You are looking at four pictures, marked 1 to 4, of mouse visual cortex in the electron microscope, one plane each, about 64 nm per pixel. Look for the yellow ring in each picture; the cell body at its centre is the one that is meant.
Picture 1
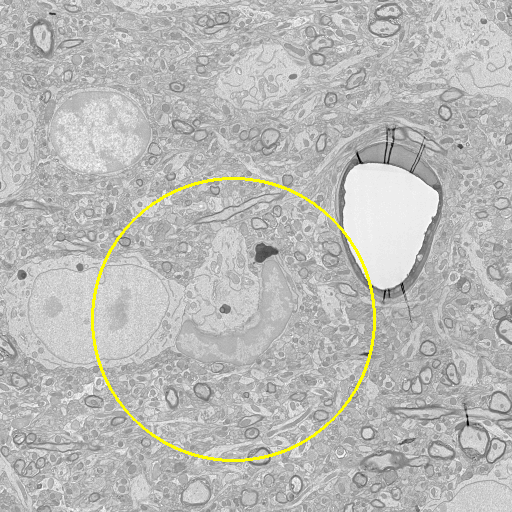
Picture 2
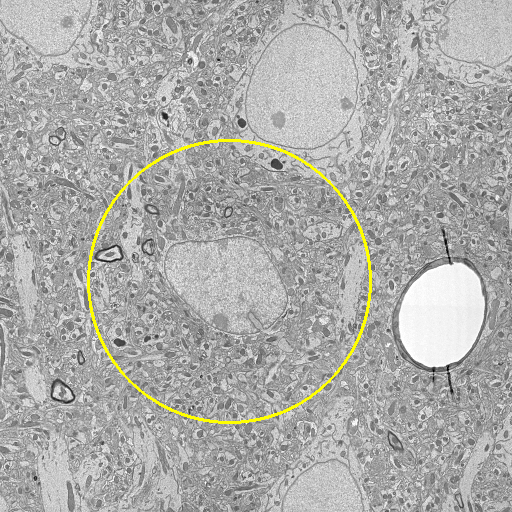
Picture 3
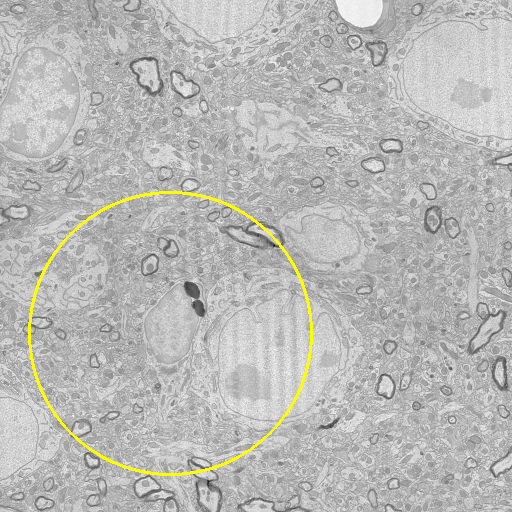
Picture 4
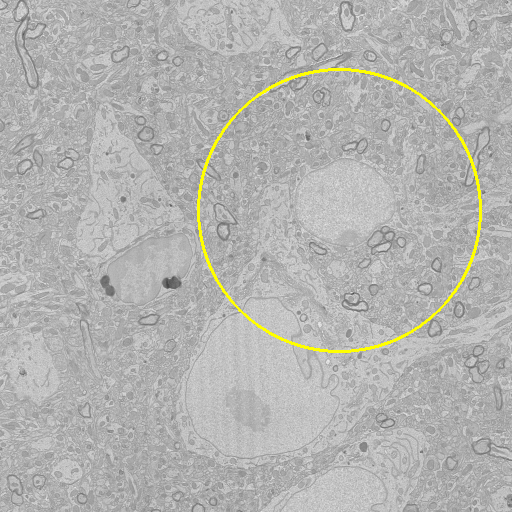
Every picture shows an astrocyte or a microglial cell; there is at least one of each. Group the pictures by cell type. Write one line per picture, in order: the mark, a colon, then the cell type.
1: microglial cell
2: astrocyte
3: microglial cell
4: astrocyte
